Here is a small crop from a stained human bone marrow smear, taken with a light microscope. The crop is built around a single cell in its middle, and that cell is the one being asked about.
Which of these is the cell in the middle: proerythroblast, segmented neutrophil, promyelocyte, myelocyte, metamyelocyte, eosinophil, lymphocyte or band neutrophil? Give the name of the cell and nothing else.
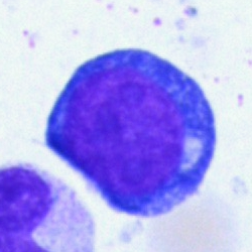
proerythroblast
